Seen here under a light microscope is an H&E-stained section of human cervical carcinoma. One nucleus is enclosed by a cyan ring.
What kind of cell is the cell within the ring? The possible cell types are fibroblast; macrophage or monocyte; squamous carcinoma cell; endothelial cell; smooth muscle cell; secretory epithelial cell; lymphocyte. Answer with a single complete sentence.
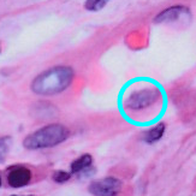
As a matter of cell type, the cell within the ring is an endothelial cell.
